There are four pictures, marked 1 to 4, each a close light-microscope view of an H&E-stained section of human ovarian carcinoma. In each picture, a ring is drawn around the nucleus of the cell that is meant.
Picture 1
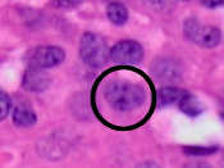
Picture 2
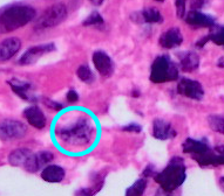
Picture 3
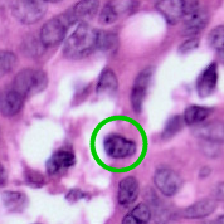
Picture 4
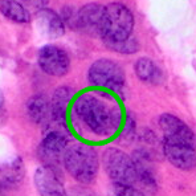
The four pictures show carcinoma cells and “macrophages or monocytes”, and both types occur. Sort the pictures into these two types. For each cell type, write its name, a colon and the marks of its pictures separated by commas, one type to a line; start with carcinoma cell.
carcinoma cell: 1, 4
macrophage or monocyte: 2, 3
